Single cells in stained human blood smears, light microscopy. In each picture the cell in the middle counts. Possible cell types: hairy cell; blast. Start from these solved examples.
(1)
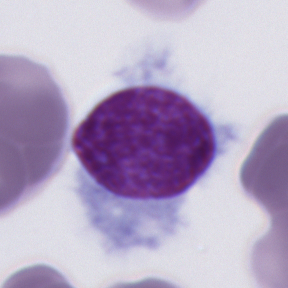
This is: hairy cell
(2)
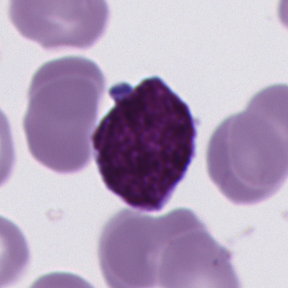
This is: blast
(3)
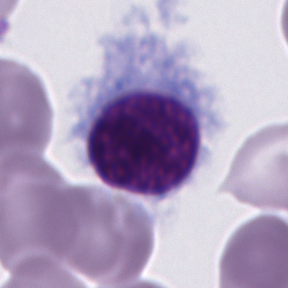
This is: hairy cell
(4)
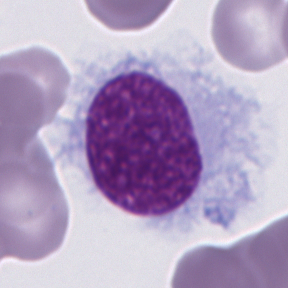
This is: hairy cell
